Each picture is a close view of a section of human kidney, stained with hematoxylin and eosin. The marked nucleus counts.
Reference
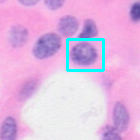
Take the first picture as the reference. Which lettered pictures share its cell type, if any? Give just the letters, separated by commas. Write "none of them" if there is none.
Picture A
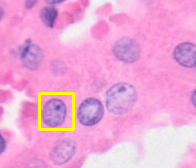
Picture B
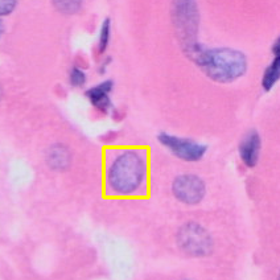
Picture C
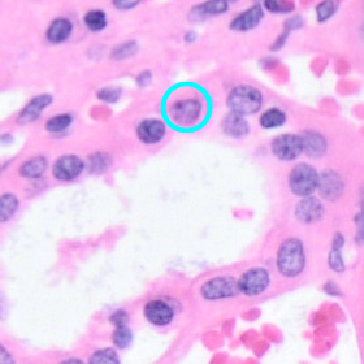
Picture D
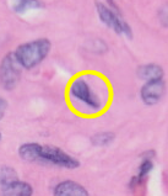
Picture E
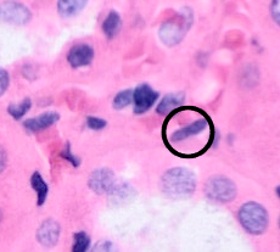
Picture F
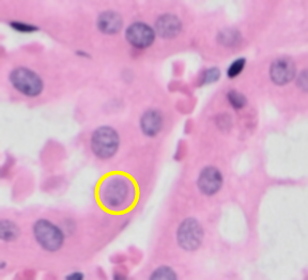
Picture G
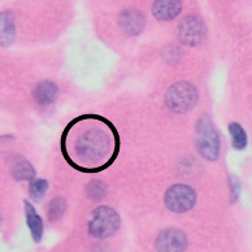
C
